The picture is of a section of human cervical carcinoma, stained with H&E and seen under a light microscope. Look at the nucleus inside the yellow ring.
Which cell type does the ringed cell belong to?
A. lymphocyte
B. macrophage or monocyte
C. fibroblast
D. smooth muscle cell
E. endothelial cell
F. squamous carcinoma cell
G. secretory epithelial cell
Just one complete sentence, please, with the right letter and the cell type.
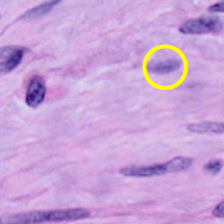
Option C is the correct one: the ringed cell is a fibroblast.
